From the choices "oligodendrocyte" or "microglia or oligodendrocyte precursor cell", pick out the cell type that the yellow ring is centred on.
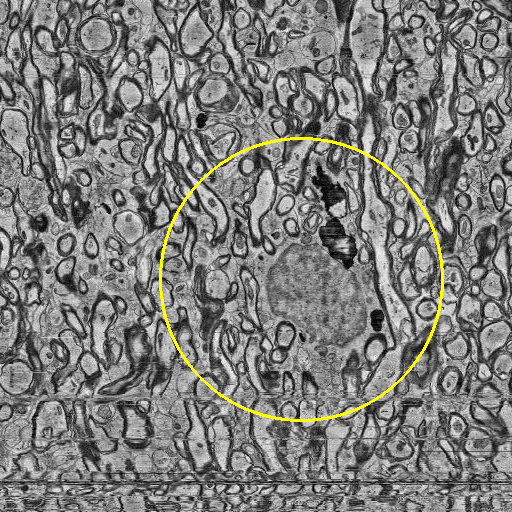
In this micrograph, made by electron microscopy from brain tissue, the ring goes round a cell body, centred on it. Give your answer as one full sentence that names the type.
The yellow ring is centred on an oligodendrocyte, whose cell body it encircles in the picture.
